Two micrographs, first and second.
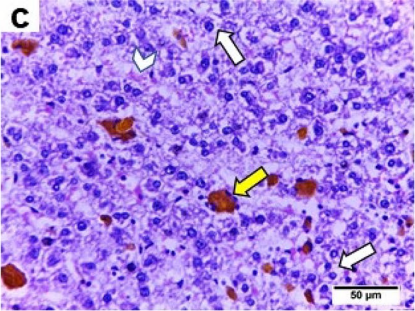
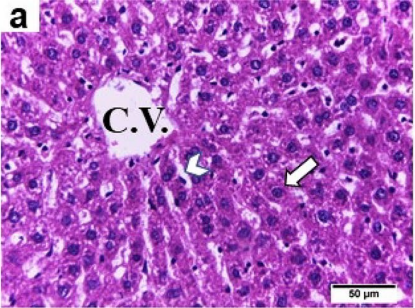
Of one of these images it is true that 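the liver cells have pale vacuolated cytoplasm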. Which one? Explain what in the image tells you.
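First image: liver cells are swollen with pale, clear, bubbly cytoplasm. Second image: liver cells have evenly pink, granular cytoplasm. The answer: the first image.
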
